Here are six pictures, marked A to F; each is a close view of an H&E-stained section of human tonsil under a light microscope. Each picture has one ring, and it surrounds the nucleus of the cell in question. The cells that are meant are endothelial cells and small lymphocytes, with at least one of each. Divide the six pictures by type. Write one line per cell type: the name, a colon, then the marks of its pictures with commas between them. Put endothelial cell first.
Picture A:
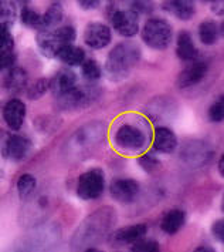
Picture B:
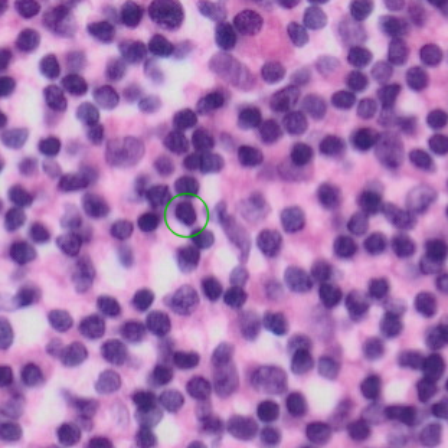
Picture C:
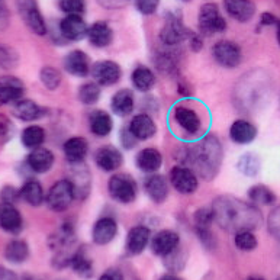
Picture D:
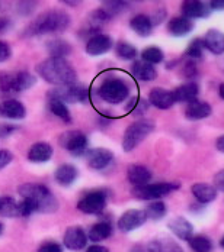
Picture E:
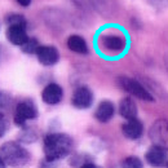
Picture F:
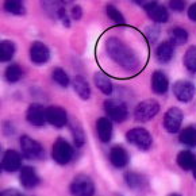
endothelial cell: A, C, E, F
small lymphocyte: B, D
